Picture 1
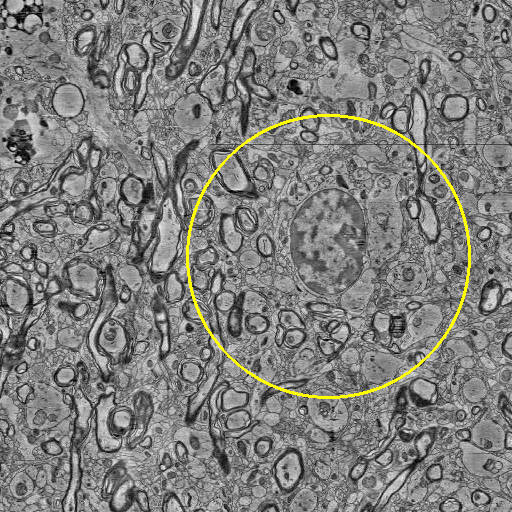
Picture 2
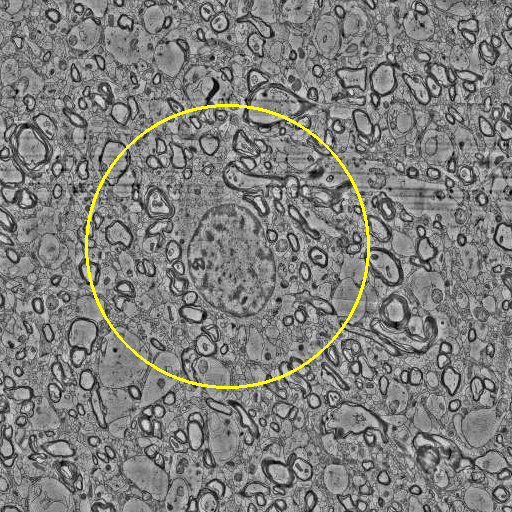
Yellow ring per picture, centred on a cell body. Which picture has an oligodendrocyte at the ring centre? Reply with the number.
2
